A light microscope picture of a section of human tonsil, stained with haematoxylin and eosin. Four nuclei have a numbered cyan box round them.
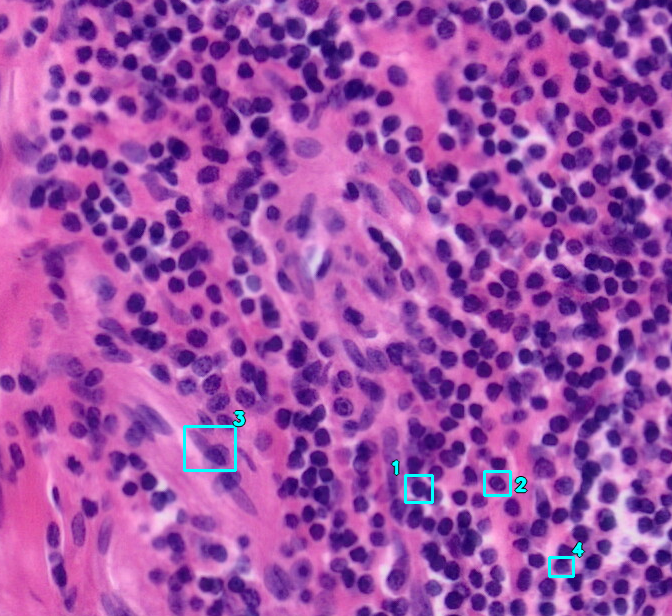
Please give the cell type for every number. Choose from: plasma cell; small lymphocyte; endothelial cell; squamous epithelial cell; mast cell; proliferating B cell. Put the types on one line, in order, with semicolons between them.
small lymphocyte; plasma cell; endothelial cell; small lymphocyte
